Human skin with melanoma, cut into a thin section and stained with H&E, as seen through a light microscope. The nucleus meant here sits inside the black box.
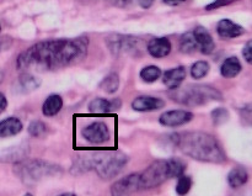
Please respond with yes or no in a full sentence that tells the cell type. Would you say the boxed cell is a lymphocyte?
Yes, and to confirm, the boxed cell is a lymphocyte.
